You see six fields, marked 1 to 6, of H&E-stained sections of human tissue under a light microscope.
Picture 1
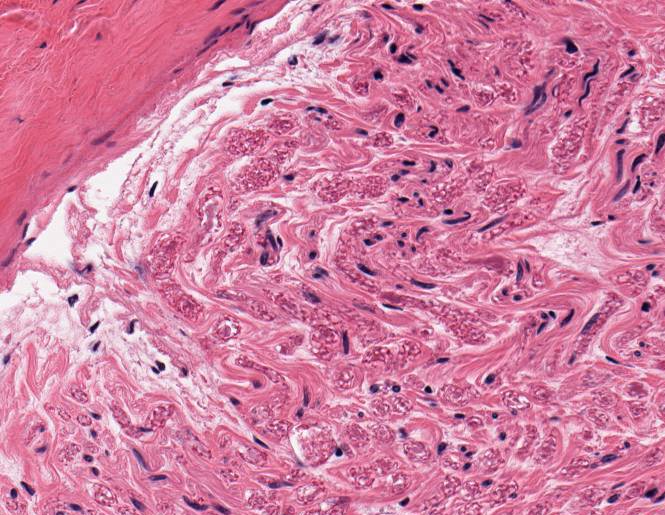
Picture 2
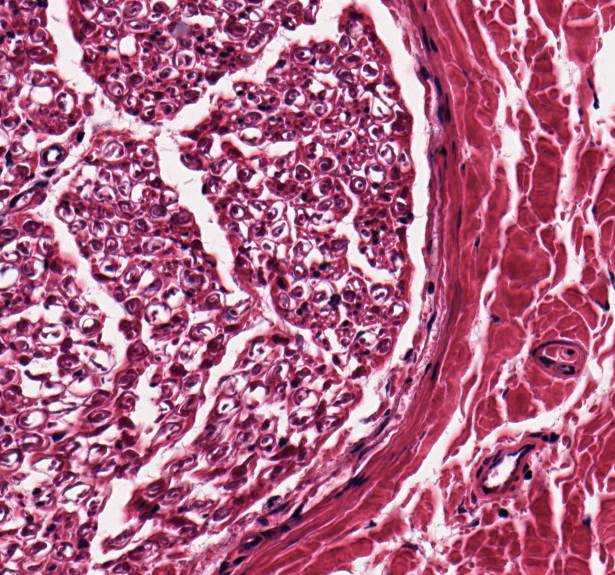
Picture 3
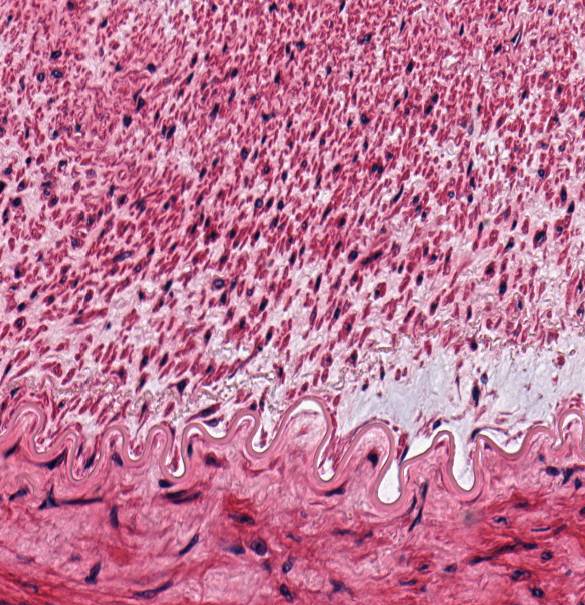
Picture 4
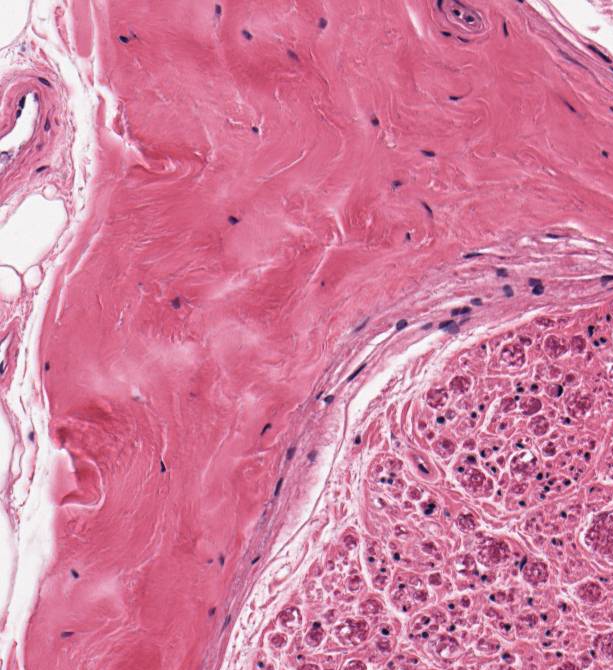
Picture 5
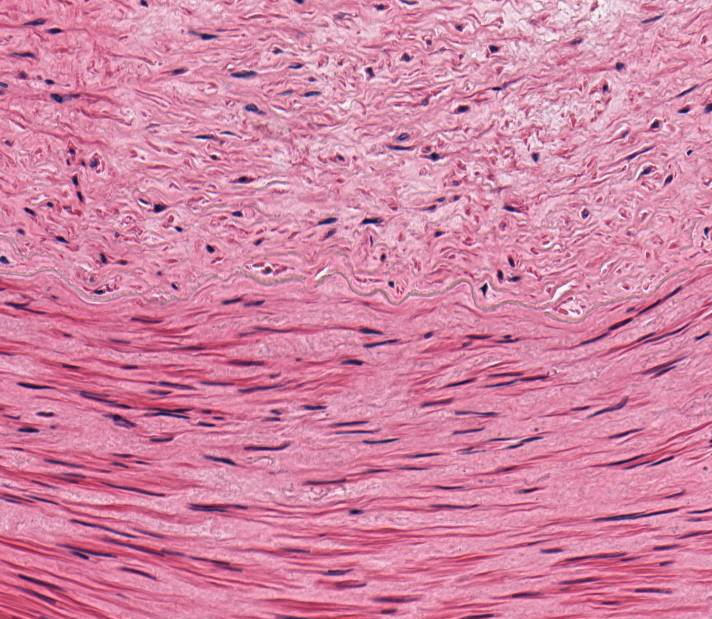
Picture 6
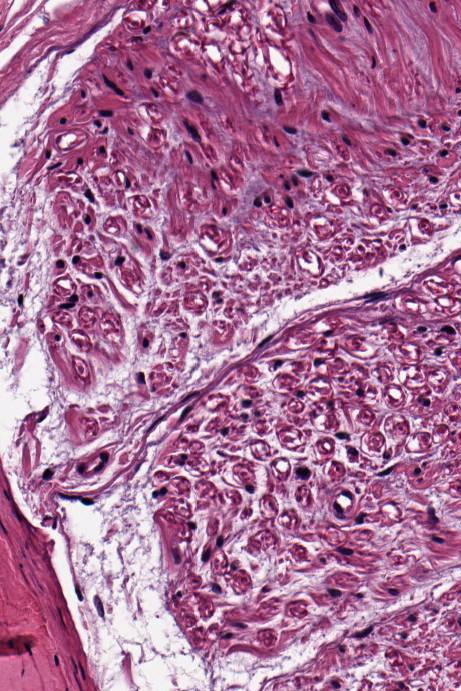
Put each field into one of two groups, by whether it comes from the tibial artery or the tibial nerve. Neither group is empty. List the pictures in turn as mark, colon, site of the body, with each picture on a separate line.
1: tibial nerve
2: tibial nerve
3: tibial artery
4: tibial nerve
5: tibial artery
6: tibial nerve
